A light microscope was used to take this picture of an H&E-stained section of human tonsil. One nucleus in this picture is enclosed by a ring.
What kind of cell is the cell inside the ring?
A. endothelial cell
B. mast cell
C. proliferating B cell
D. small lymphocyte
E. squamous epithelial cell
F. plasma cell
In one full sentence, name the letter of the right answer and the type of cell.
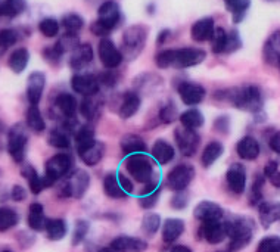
Right answer, option D: the cell inside the ring is a small lymphocyte.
